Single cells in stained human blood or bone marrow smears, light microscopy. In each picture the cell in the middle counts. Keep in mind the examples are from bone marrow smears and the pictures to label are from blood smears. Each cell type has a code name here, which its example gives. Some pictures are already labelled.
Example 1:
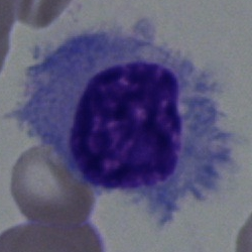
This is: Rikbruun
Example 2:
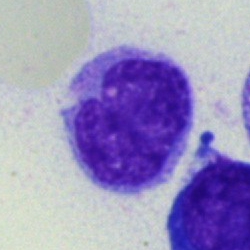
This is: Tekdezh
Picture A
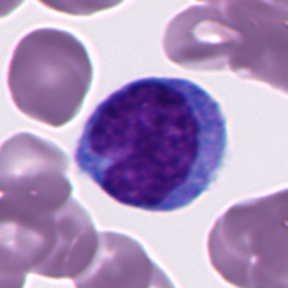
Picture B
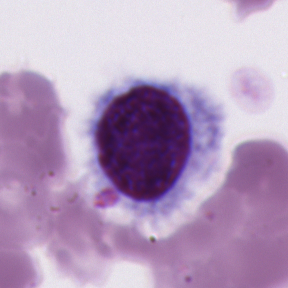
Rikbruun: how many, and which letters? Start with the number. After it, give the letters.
Count: 1 (B)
